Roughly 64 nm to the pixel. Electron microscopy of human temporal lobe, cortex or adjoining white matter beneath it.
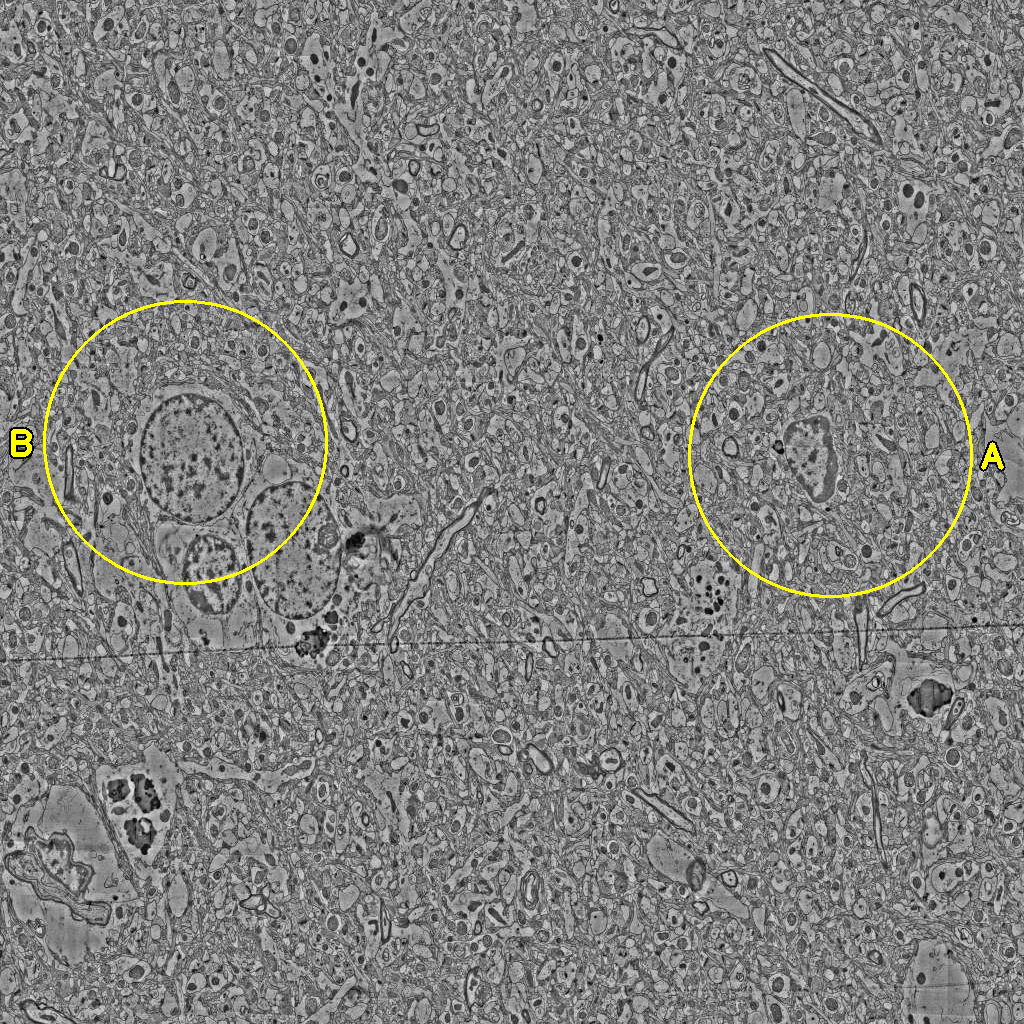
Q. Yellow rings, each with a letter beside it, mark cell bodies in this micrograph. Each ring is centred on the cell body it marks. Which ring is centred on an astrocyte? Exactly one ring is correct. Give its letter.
B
